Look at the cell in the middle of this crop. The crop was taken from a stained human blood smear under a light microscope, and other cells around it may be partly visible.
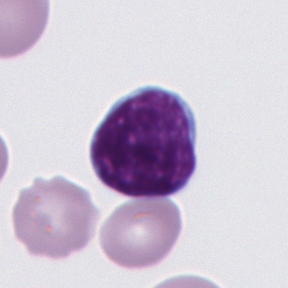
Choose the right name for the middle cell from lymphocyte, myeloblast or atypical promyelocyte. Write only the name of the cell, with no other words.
lymphocyte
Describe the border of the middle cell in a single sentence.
Edge check done: smooth outline, no projections present.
